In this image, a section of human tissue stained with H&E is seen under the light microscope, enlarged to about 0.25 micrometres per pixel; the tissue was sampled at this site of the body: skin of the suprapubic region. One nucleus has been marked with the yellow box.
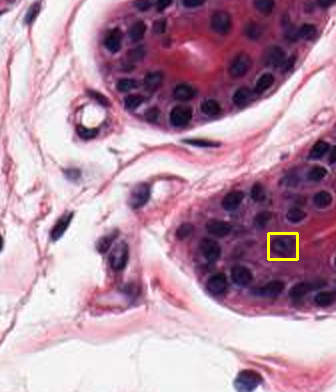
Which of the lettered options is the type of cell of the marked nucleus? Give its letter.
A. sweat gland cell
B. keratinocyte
A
